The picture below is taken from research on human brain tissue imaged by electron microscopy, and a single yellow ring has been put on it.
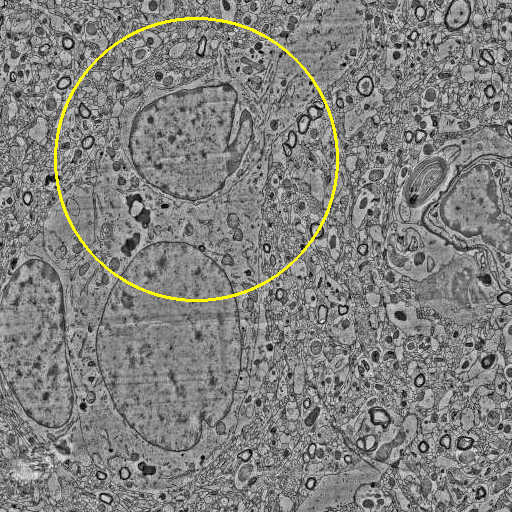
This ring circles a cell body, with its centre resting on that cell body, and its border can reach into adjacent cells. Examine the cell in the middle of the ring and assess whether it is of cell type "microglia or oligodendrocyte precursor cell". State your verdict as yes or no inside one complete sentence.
Yes, in the picture, the cell lying at the centre of the ring is of this type.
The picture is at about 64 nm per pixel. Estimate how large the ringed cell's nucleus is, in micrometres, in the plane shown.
In this plane, approximately 8 by 7 micrometers.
